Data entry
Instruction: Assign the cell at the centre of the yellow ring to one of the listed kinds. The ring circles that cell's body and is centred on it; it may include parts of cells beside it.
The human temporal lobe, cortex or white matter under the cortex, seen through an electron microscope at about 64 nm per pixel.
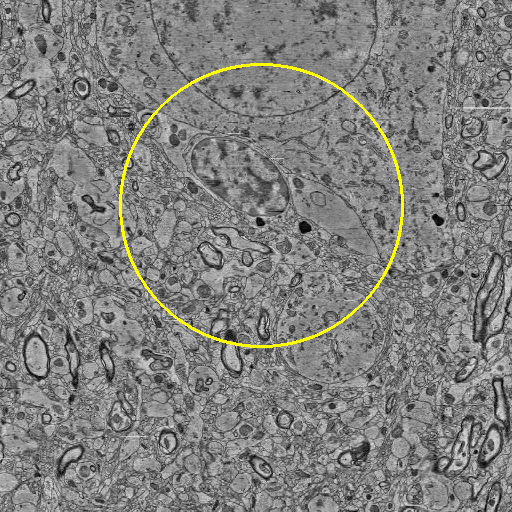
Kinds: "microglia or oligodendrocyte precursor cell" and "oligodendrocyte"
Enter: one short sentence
The centre of the ring falls on a microglial cell or oligodendrocyte precursor cell.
